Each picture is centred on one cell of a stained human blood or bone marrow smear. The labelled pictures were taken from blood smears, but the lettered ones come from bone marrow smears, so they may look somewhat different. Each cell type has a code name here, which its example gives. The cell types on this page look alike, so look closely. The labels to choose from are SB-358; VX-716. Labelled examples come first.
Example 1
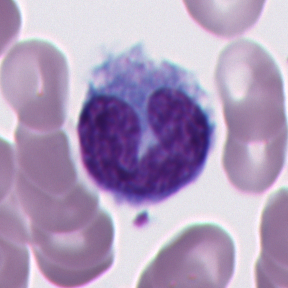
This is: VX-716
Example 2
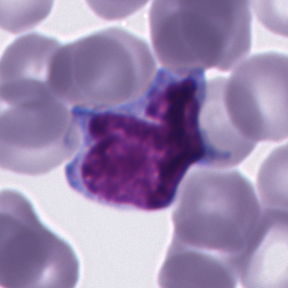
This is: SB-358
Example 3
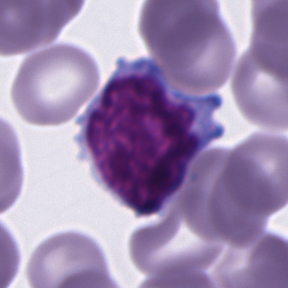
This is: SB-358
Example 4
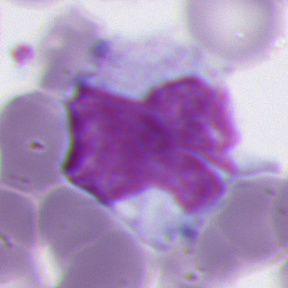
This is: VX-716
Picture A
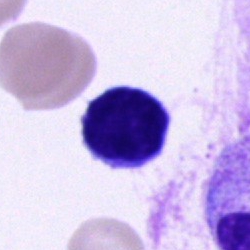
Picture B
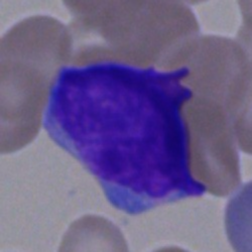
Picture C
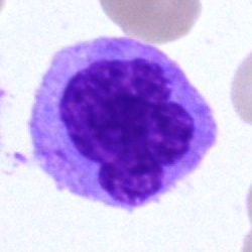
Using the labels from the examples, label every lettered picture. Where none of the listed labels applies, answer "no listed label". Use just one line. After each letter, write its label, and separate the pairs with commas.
A SB-358, B no listed label, C VX-716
